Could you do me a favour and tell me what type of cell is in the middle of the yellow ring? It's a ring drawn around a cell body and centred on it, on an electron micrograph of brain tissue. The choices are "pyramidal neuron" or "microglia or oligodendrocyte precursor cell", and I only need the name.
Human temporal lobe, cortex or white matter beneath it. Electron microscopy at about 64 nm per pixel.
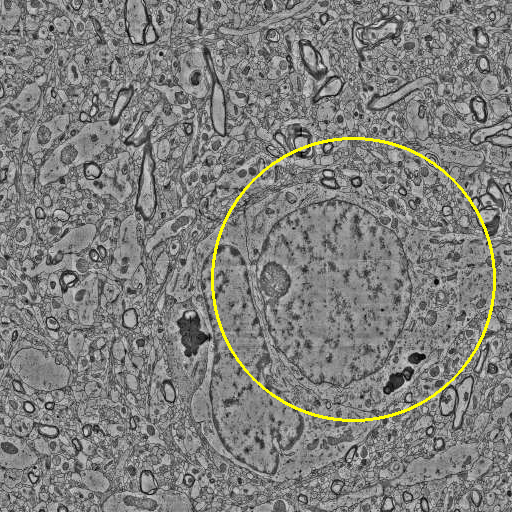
pyramidal neuron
